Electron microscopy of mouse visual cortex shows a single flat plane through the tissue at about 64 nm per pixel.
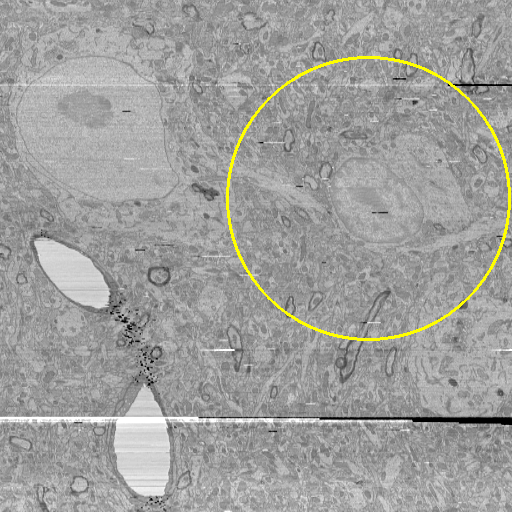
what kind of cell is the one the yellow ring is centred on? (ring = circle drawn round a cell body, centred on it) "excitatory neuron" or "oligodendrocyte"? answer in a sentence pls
The ring is drawn around an oligodendrocyte.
